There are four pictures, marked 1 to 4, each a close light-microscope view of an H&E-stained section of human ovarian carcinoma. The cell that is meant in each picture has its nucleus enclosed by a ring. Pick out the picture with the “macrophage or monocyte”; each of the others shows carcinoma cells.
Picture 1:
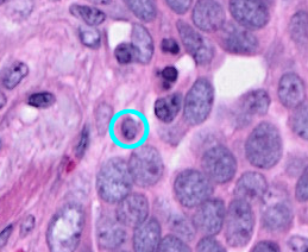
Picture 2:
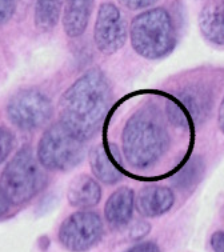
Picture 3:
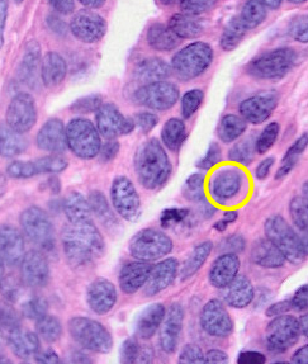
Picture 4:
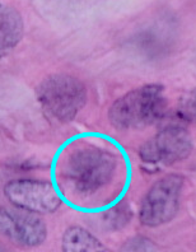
1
